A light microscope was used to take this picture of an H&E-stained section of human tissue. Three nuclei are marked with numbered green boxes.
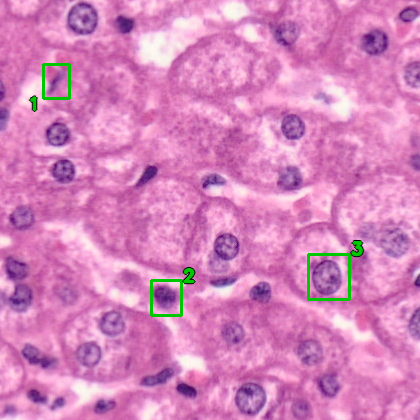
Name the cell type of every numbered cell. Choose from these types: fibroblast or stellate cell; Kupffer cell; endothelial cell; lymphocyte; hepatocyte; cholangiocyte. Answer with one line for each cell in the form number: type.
1: endothelial cell
2: Kupffer cell
3: hepatocyte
